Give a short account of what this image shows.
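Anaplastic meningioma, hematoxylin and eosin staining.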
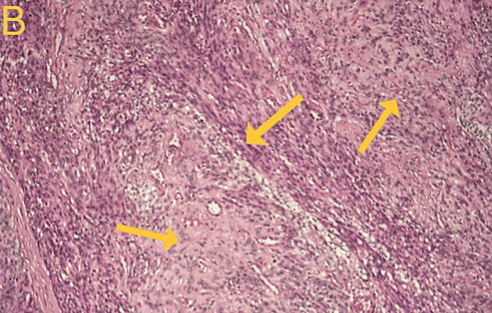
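This is a tumor of densely packed spindle-shaped and oval cells with purple nuclei and pink cytoplasm. The cells run in broad interweaving bands and fascicles. Between the cellular bands lie paler pink areas with fewer, looser cells. A thin strip of pink fibrous tissue crosses the lower left corner.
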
